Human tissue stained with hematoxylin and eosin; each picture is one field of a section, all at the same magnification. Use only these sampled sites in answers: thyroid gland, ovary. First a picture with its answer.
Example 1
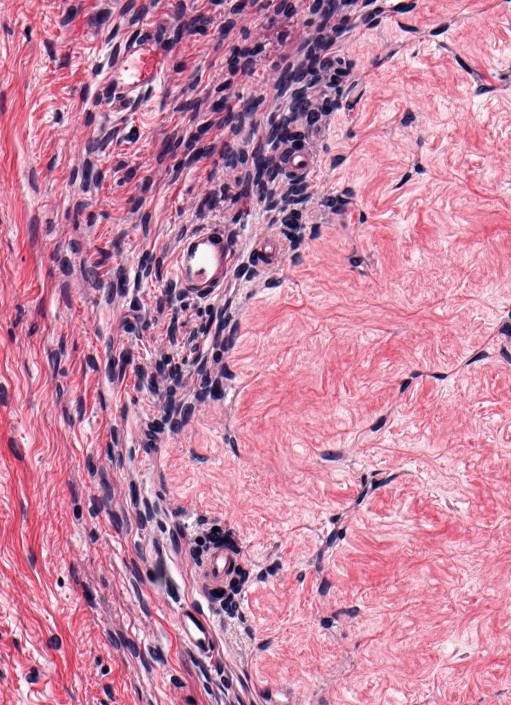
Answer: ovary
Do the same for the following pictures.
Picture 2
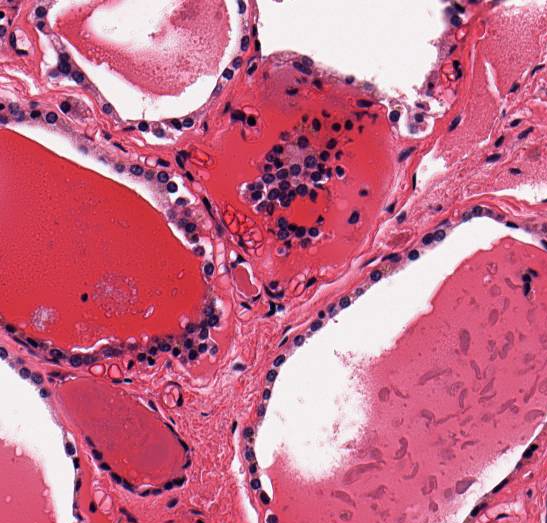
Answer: thyroid gland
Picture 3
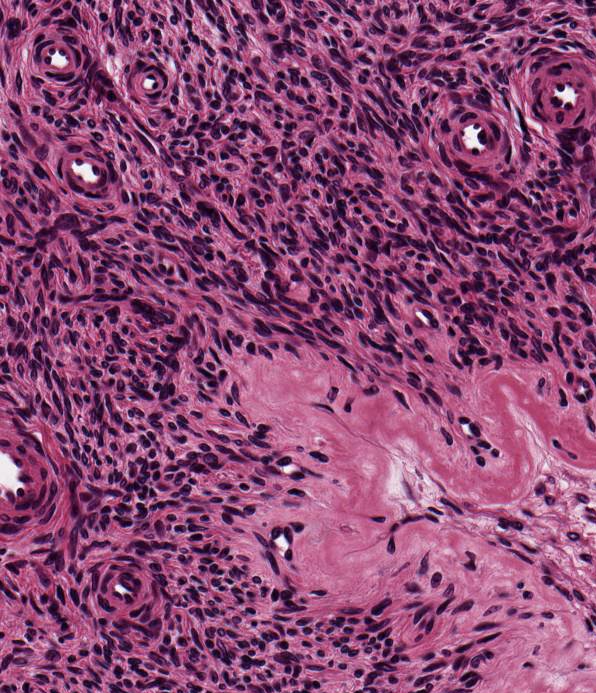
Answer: ovary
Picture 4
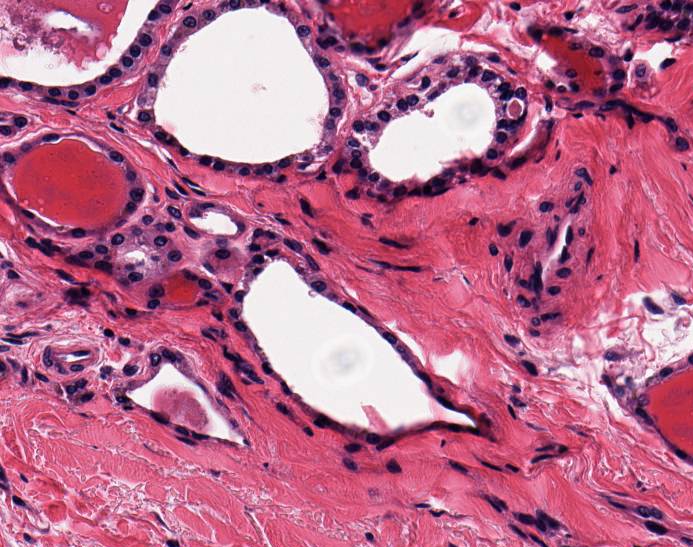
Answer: thyroid gland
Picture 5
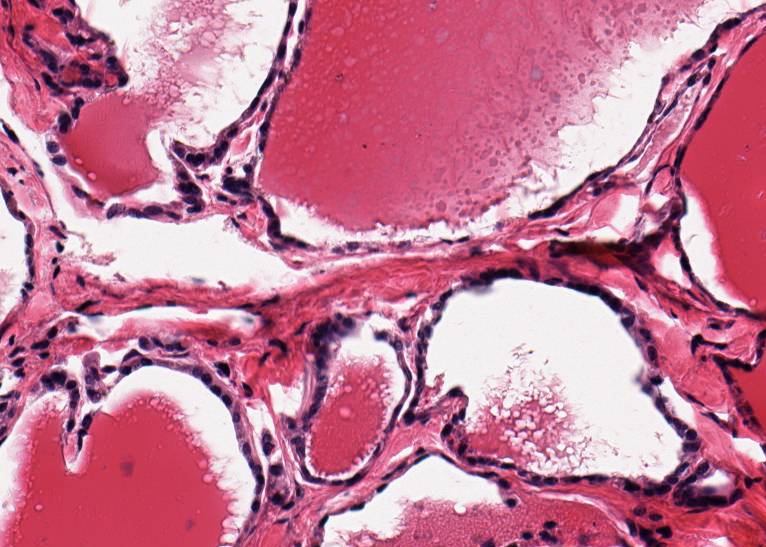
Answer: thyroid gland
